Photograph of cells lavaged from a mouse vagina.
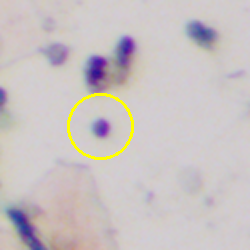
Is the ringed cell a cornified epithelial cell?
No, it is a leukocyte.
